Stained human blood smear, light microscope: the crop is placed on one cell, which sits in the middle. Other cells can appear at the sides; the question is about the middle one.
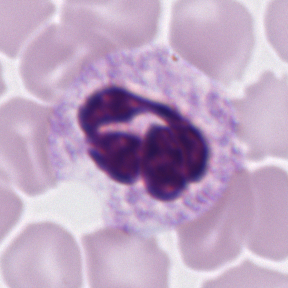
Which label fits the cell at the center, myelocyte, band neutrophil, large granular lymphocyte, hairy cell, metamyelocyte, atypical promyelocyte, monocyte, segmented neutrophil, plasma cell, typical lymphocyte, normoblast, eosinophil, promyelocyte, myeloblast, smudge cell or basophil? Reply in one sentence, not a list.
At the center of the crop sits a segmented neutrophil.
